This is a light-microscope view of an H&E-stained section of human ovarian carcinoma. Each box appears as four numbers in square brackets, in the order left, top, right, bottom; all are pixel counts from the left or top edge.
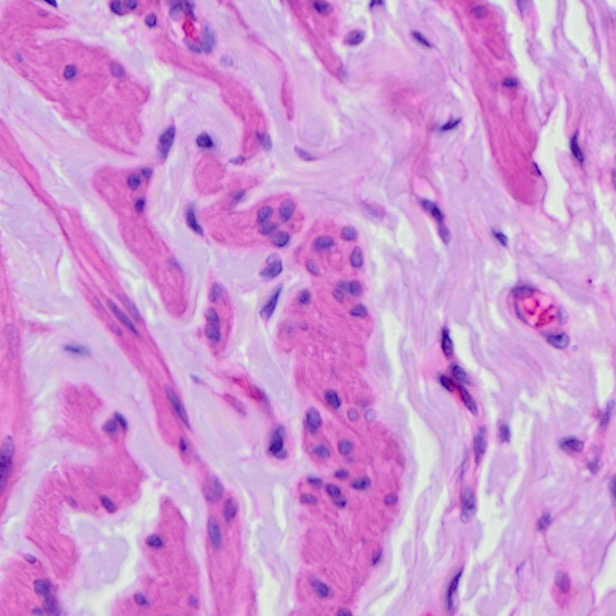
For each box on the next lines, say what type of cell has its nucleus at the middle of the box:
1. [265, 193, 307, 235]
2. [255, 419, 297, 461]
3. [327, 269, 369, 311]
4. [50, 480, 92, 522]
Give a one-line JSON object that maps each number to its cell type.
{"1": "smooth muscle cell", "2": "endothelial cell", "3": "smooth muscle cell", "4": "smooth muscle cell"}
